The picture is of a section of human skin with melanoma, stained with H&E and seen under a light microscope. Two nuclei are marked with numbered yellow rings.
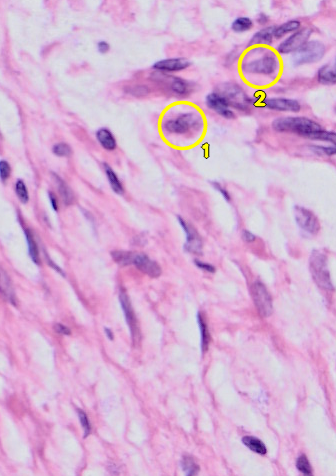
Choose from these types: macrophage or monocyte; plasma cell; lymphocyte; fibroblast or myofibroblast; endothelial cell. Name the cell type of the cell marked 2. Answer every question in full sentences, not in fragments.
Number 2 among the marked cells is an endothelial cell.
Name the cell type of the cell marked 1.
The numbered cell 1 in this field is a macrophage or monocyte.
